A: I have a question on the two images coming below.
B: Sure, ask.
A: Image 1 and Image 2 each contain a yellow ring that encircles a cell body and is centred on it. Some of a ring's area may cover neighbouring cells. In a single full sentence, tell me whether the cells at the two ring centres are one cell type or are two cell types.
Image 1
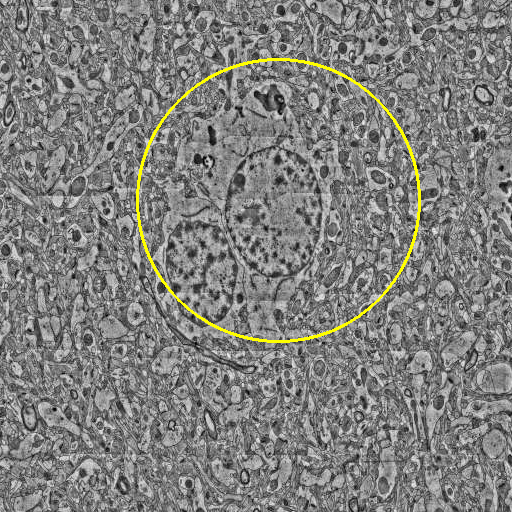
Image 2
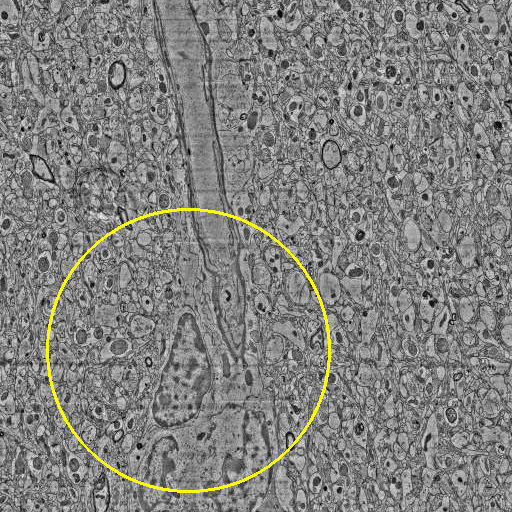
As for the ring-centre cells, the one in Image 1 and the one in Image 2 are two cell types.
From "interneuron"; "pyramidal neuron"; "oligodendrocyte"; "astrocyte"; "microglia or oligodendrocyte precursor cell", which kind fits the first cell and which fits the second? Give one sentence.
The cell marked in the first picture is an astrocyte, and the one marked in the second is a microglial cell or oligodendrocyte precursor cell.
